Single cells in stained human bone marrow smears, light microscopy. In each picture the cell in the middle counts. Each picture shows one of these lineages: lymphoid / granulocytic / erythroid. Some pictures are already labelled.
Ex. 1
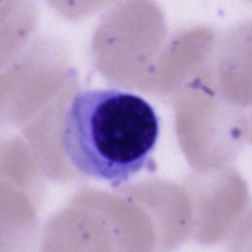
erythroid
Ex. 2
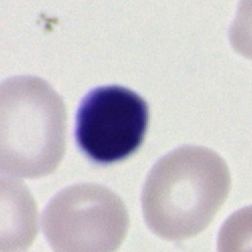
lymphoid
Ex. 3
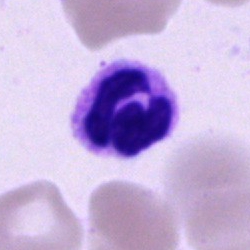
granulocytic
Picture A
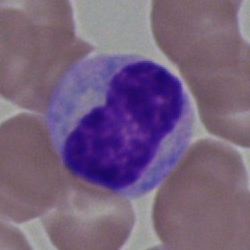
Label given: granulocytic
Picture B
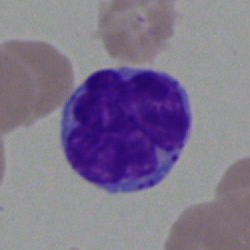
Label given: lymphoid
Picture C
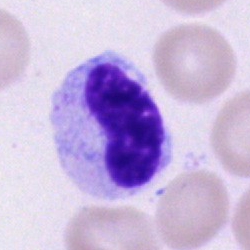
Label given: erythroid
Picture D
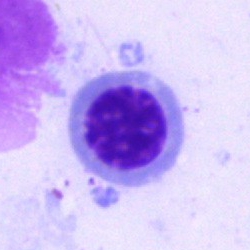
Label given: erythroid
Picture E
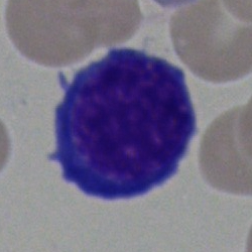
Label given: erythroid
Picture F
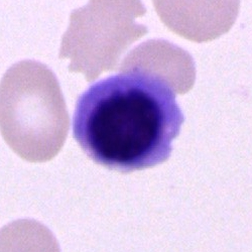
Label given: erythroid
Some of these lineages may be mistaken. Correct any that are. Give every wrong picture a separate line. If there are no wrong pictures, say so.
C: not erythroid but granulocytic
